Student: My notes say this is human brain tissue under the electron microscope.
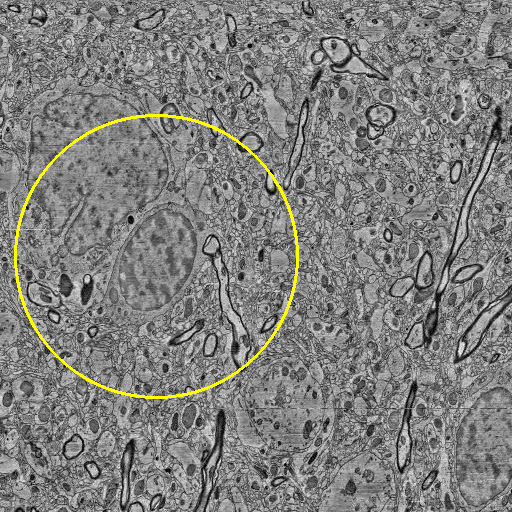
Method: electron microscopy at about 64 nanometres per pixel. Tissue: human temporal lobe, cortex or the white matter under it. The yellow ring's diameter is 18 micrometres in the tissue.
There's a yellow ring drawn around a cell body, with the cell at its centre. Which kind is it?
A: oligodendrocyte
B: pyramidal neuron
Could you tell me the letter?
A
